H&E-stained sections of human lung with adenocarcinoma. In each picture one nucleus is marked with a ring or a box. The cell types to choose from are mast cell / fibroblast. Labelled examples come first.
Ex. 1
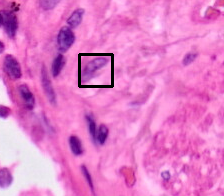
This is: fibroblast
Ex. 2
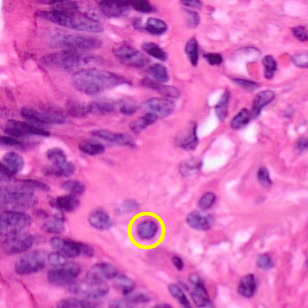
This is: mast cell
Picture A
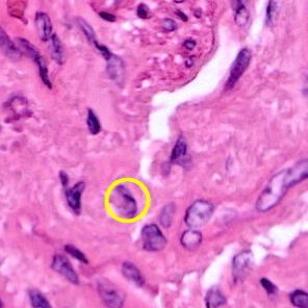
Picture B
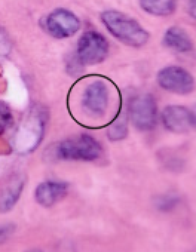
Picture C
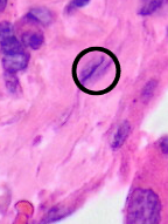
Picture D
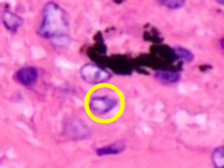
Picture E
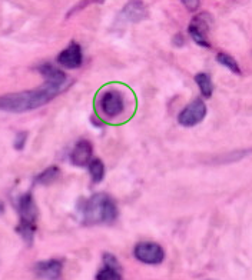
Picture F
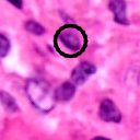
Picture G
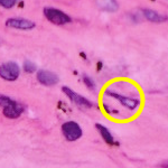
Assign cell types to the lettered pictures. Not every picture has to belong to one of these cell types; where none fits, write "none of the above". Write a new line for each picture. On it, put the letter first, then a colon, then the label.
A: fibroblast
B: mast cell
C: fibroblast
D: fibroblast
E: none of the above
F: none of the above
G: fibroblast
